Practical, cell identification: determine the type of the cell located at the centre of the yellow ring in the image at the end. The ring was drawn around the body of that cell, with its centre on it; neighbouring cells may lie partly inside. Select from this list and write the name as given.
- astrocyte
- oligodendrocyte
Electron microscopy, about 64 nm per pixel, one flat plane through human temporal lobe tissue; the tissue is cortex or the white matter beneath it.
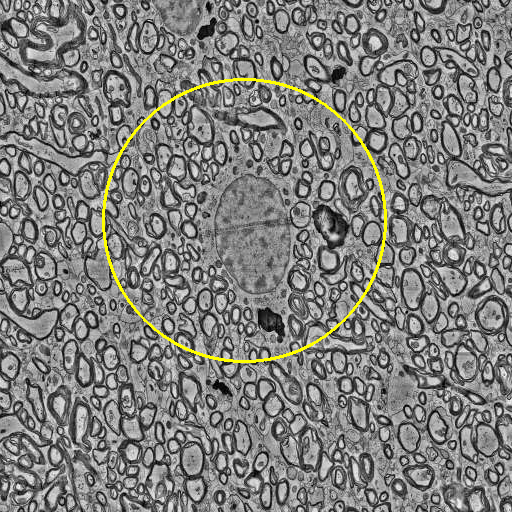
oligodendrocyte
